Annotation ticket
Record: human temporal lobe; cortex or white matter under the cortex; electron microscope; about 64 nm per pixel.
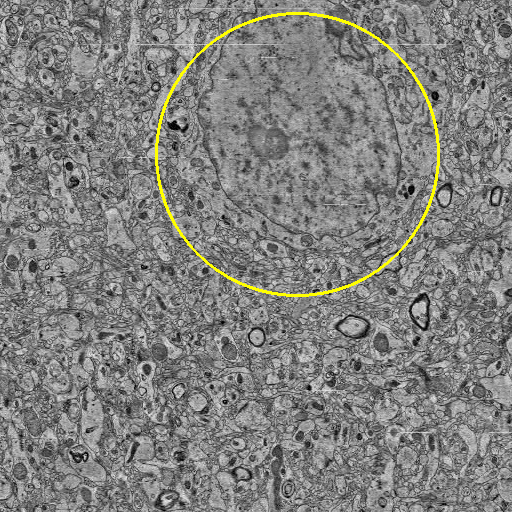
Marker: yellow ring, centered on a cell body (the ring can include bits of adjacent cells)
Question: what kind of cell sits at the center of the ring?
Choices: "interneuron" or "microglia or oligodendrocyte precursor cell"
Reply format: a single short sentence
The ring is centered on an interneuron.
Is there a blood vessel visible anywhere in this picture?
No.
